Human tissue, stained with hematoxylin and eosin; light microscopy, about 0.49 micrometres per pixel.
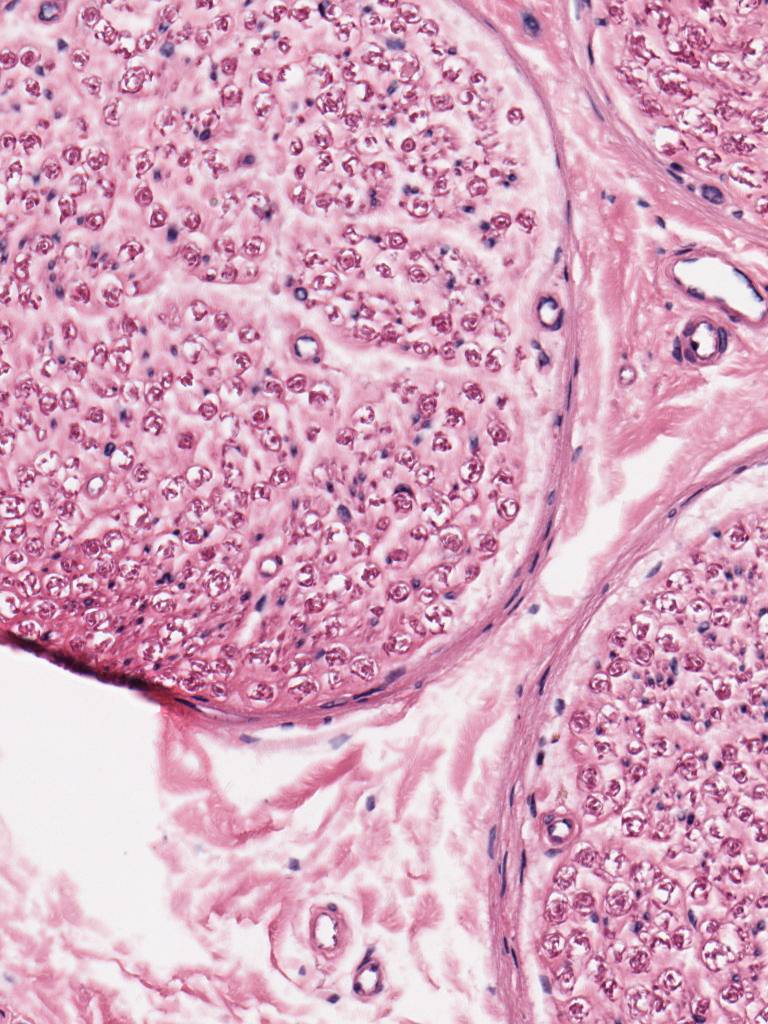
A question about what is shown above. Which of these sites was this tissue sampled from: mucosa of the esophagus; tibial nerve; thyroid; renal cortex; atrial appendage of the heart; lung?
tibial nerve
